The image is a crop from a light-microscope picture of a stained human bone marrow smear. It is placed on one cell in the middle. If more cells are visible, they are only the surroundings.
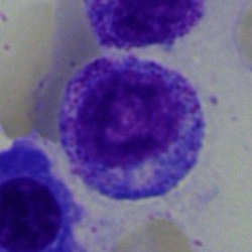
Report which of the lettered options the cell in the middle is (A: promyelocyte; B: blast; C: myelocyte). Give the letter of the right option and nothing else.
A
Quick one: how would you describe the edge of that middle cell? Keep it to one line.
Smooth all around, the outline has no projections to report.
